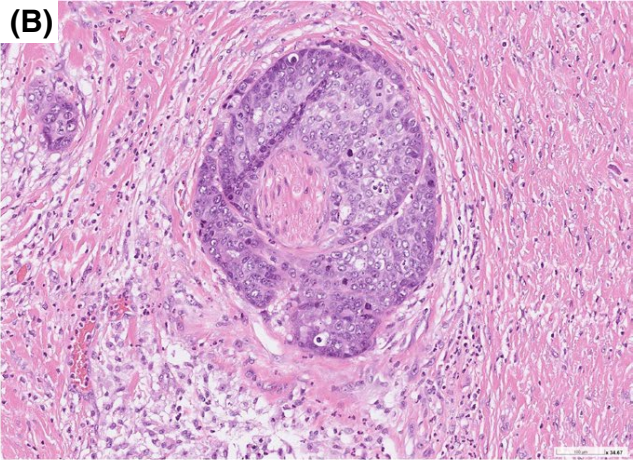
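A rounded nest of carcinoma cells encircles a nerve bundle in fibrous stroma. The tumor cells are crowded, with large, pale-to-dark, pleomorphic nuclei and prominent nucleoli. They form a thick ring around a central pale pink bundle of wavy fibres. Small vacuoles are present within the tumor nest. The surrounding stroma is pink and fibrous with scattered spindle cells and a small blood vessel at the lower left.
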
